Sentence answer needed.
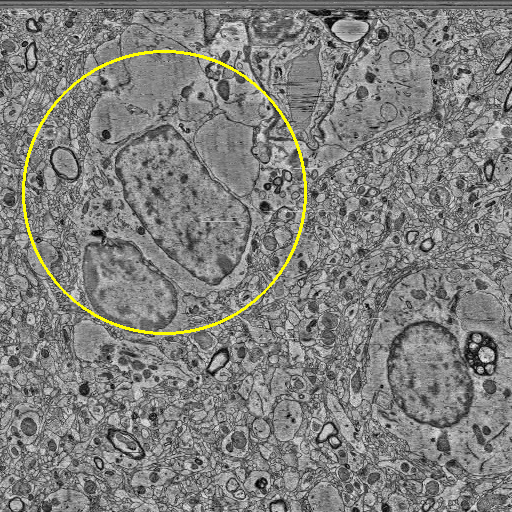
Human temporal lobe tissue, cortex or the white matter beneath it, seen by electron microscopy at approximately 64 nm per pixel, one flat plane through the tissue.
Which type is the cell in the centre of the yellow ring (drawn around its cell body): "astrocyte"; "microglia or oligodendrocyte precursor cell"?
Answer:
In the centre of the yellow ring is a microglial cell or oligodendrocyte precursor cell.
